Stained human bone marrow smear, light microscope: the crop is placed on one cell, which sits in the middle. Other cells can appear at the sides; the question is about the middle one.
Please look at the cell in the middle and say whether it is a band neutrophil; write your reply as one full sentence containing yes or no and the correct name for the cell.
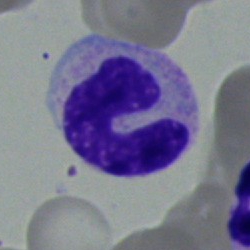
Yes, the cell positioned at the centre of the crop is a band neutrophil.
